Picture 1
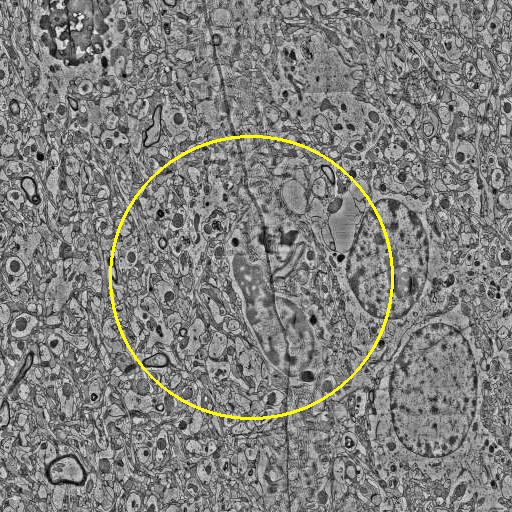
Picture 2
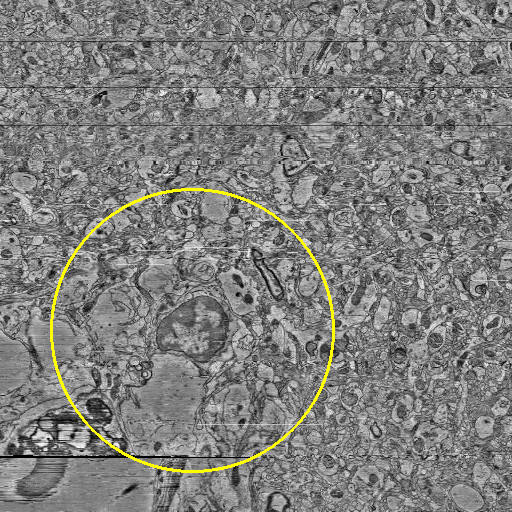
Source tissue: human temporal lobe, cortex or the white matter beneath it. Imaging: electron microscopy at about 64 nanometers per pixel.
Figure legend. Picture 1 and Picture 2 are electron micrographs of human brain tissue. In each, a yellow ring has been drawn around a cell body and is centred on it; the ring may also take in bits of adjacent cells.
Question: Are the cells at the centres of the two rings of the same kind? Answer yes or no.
yes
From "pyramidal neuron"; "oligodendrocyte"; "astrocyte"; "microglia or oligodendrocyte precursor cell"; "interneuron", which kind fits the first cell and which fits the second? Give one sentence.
The cell in the first picture is a microglial cell or oligodendrocyte precursor cell, and so is the one in the second.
